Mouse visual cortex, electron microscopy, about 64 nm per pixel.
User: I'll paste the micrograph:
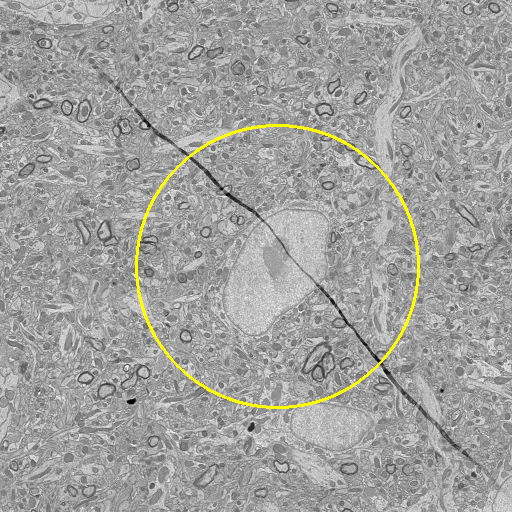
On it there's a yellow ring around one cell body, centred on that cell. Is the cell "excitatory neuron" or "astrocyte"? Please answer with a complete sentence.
The cell ringed in yellow is an astrocyte.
